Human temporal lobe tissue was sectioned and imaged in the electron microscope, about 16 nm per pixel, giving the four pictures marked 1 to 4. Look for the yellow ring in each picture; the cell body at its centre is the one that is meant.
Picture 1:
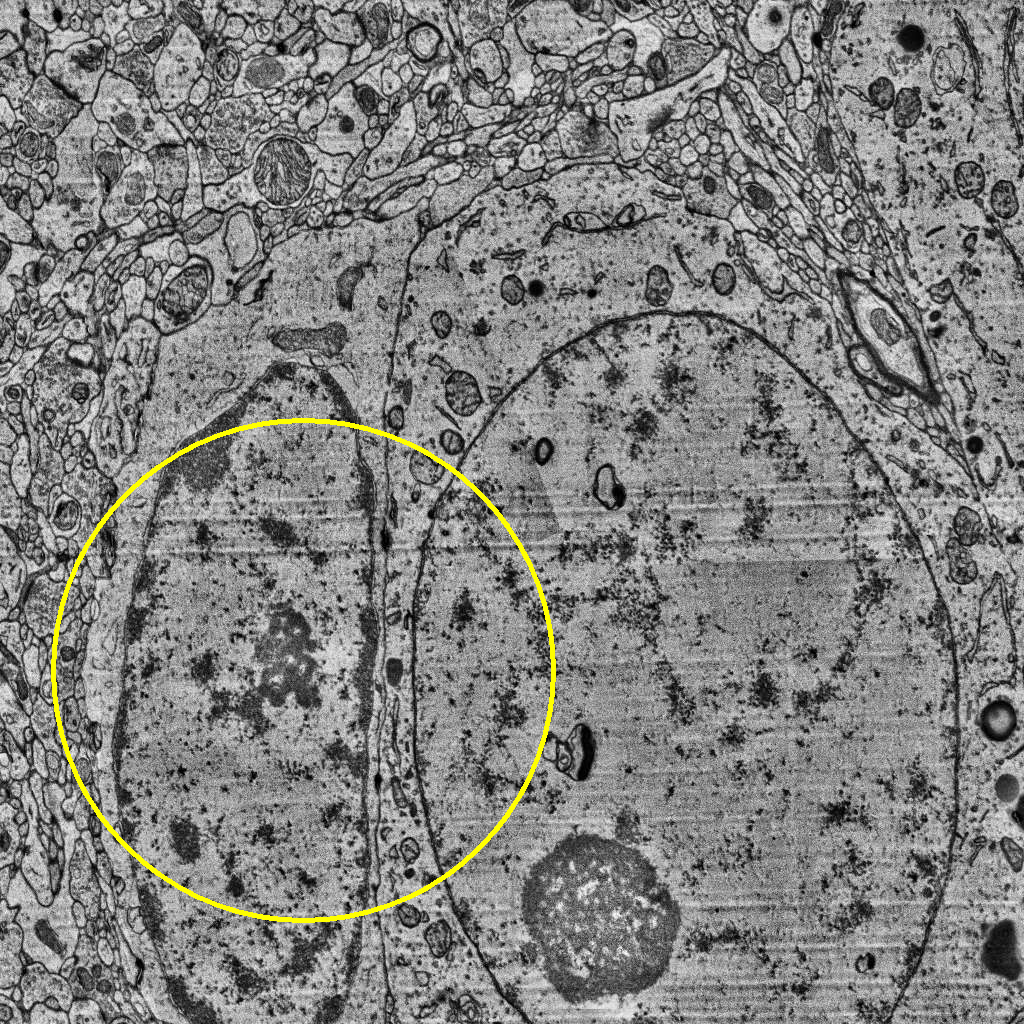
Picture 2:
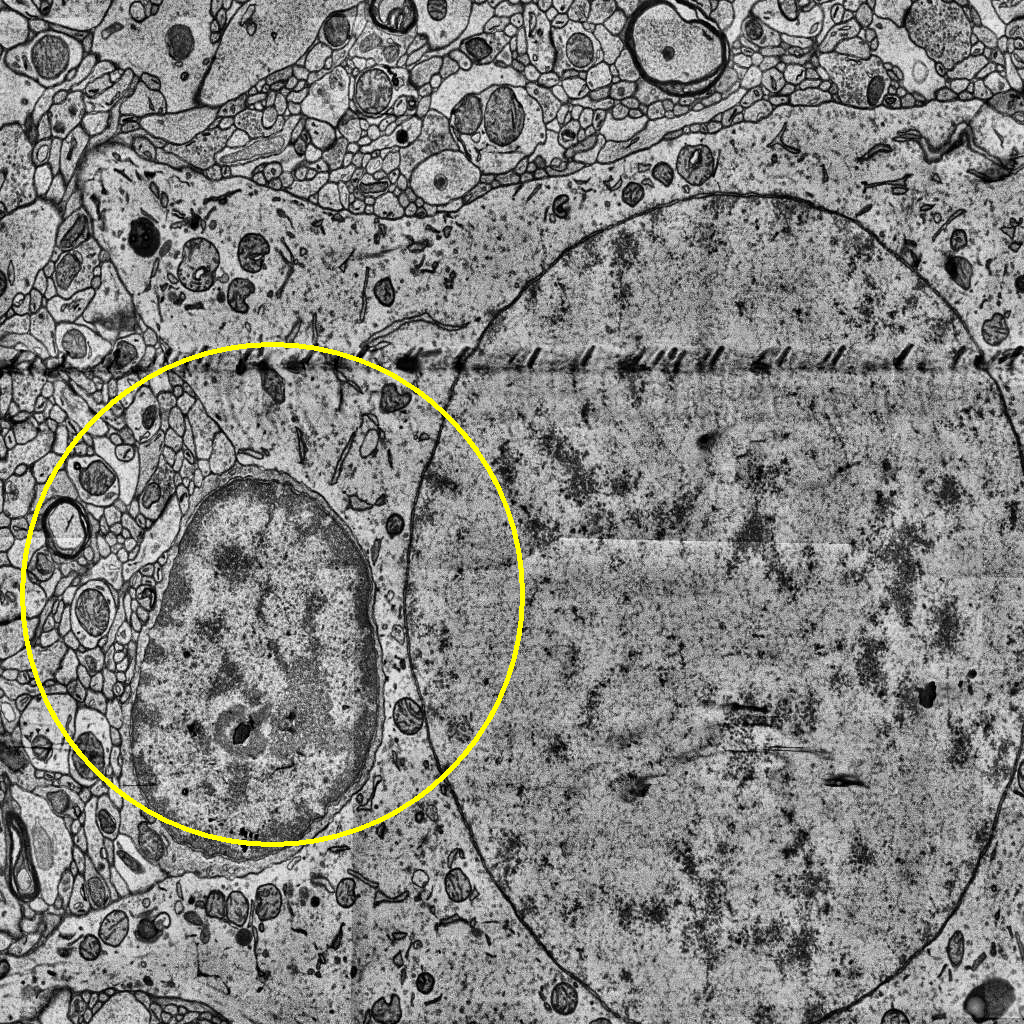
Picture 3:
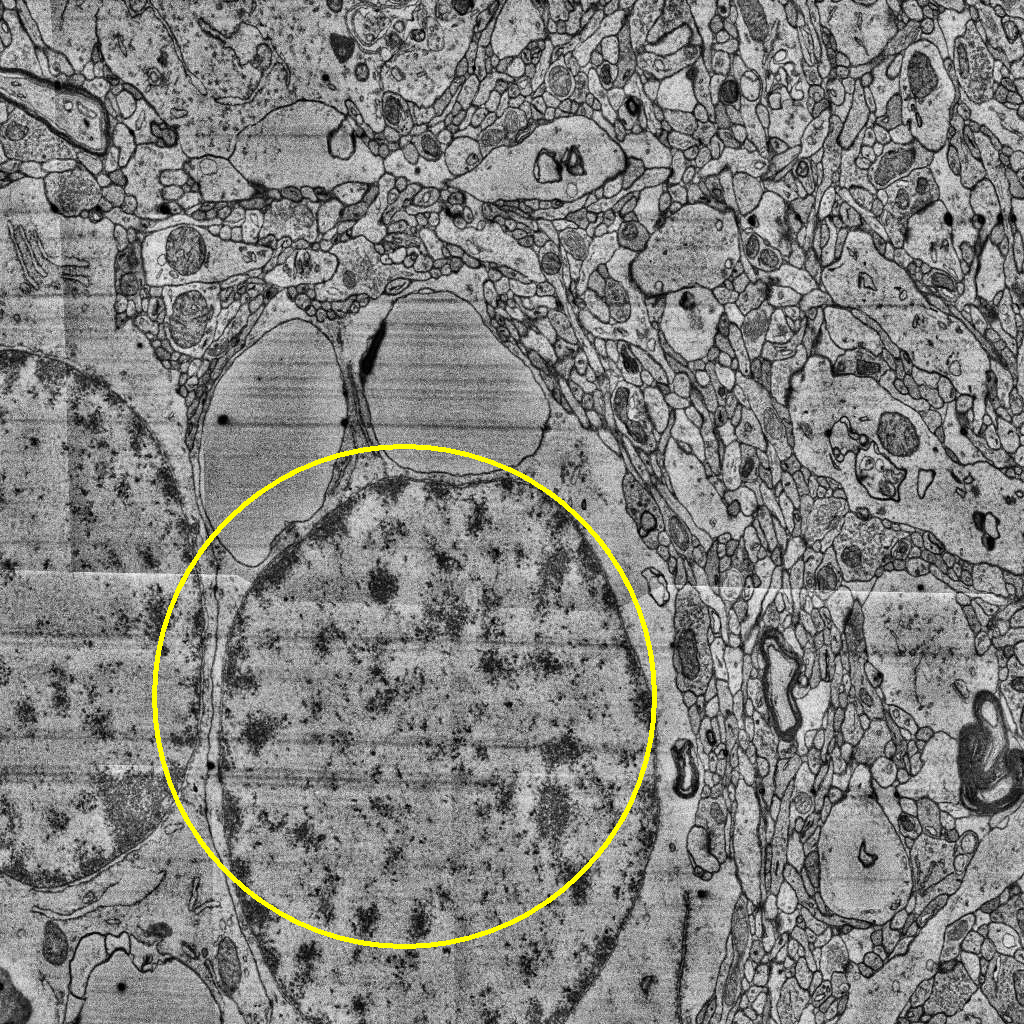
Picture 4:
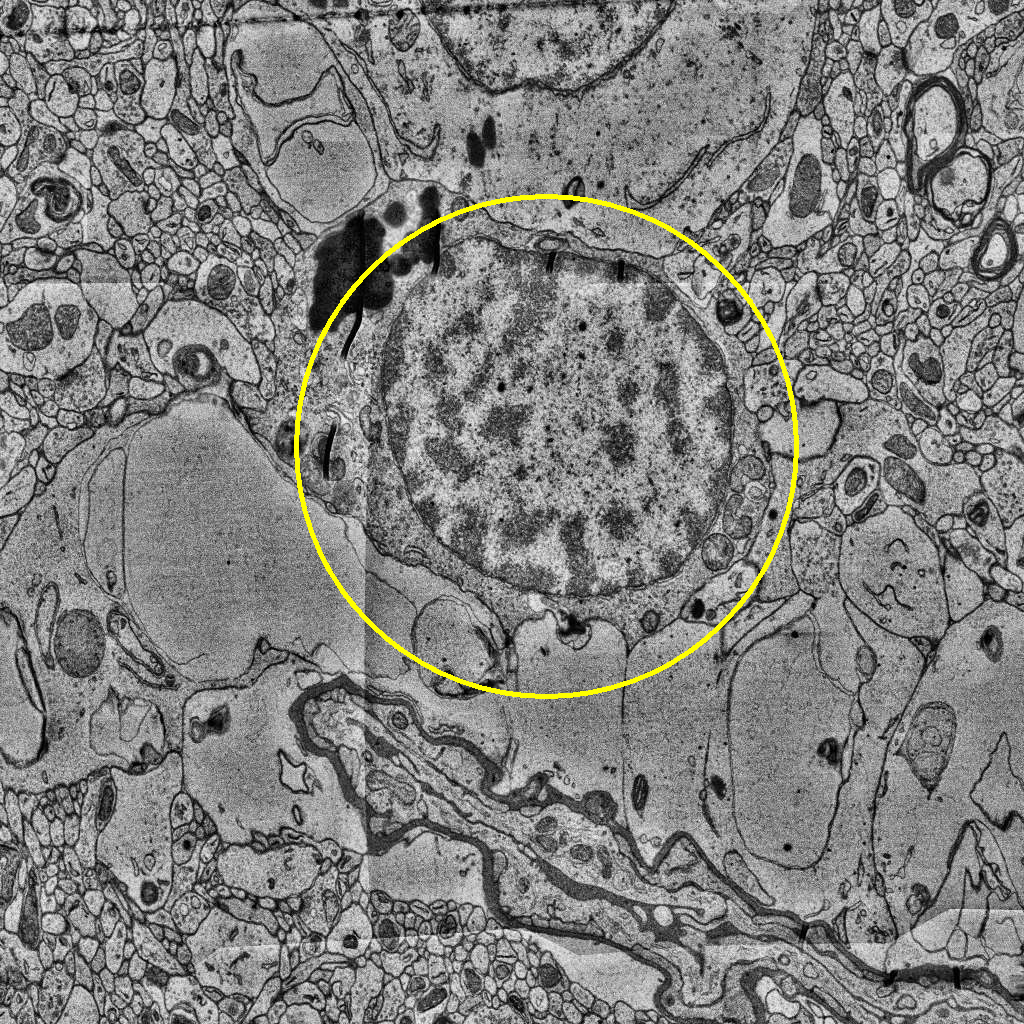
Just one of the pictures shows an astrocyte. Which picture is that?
The cell in picture 3 is the astrocyte.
